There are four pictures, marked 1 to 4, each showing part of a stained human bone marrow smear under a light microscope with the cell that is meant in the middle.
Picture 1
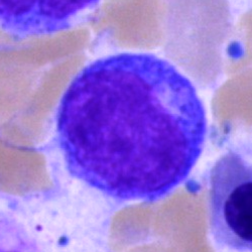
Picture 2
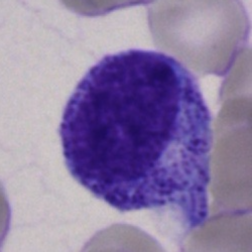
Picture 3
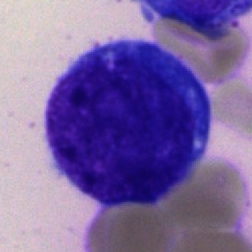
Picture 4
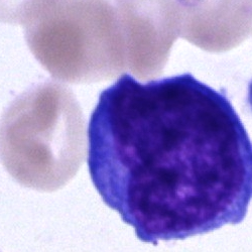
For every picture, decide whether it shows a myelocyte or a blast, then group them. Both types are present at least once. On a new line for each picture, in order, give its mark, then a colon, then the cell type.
1: blast
2: myelocyte
3: blast
4: blast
